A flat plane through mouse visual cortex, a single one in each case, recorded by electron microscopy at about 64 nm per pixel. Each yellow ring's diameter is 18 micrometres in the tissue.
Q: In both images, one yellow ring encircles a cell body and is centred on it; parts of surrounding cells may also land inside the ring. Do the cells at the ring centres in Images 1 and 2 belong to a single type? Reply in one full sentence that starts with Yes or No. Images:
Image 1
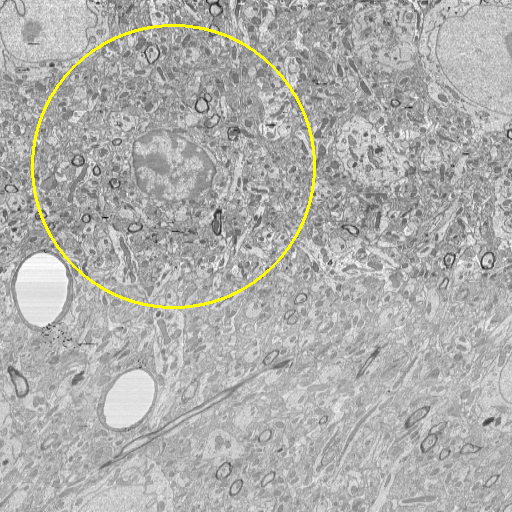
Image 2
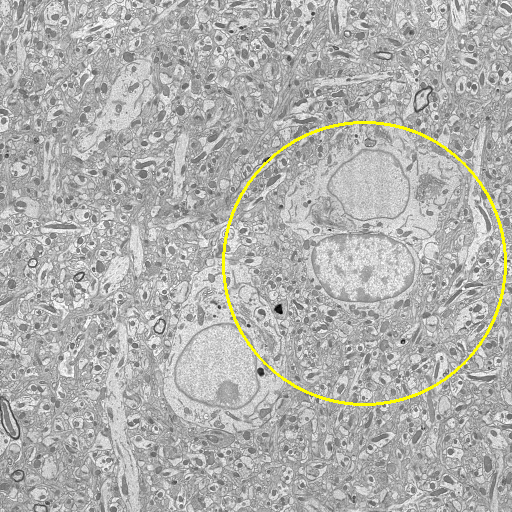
Yes, the cells at the ring centres in Images 1 and 2 are of a single type.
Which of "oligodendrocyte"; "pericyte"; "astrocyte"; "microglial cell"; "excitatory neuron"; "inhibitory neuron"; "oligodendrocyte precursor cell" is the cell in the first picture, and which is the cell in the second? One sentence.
The cell at the ring centre is an oligodendrocyte in both pictures.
